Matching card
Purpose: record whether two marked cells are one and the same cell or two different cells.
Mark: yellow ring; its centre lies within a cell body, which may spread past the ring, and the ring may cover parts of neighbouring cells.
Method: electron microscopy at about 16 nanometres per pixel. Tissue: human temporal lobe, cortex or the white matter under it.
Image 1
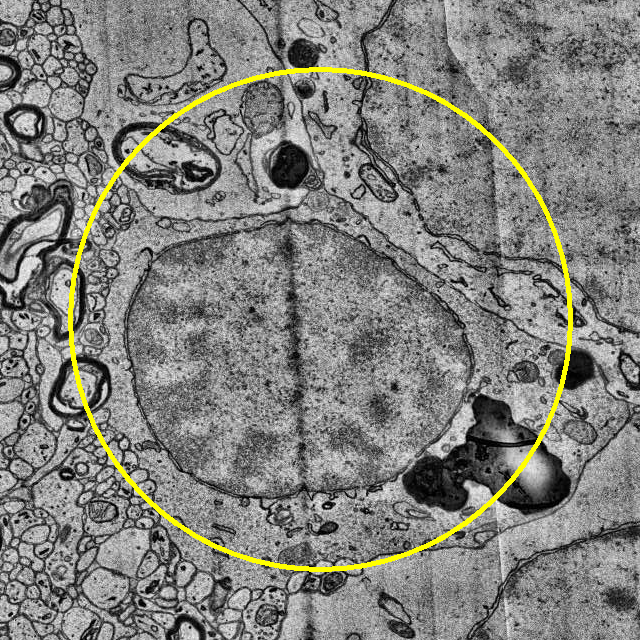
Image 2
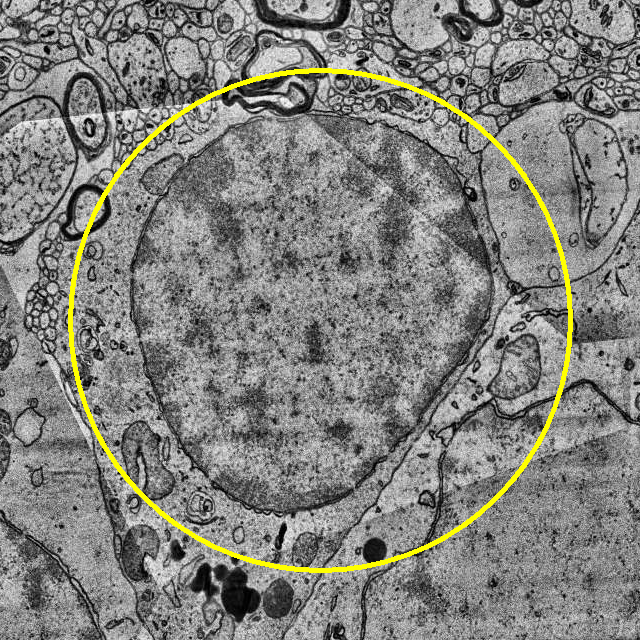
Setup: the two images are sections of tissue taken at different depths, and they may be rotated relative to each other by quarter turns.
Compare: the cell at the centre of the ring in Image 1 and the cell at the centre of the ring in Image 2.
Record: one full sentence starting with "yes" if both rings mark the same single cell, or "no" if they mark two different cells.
Yes, only one cell is involved, and both rings mark it.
